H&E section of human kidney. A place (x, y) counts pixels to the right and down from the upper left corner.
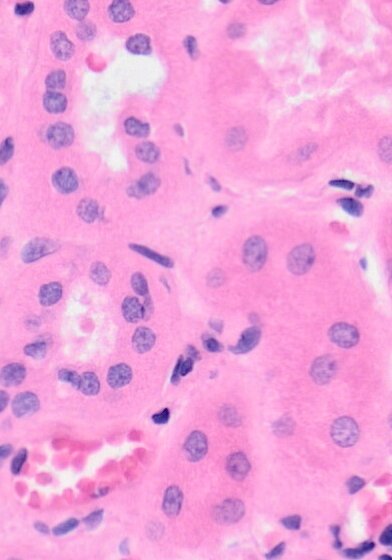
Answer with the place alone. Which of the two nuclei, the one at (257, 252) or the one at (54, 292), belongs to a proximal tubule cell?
(257, 252)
